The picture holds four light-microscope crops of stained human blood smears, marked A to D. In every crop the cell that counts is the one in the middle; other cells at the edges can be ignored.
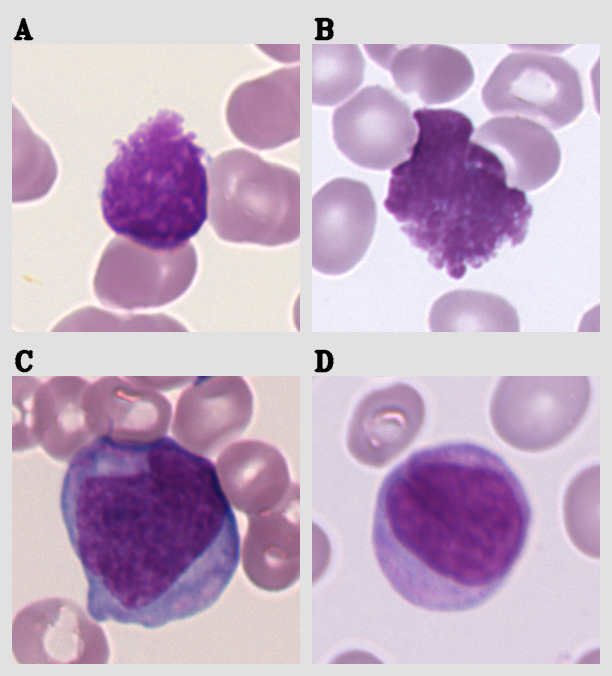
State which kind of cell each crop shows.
A: smudge cell
B: smudge cell
C: atypical promyelocyte
D: atypical promyelocyte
